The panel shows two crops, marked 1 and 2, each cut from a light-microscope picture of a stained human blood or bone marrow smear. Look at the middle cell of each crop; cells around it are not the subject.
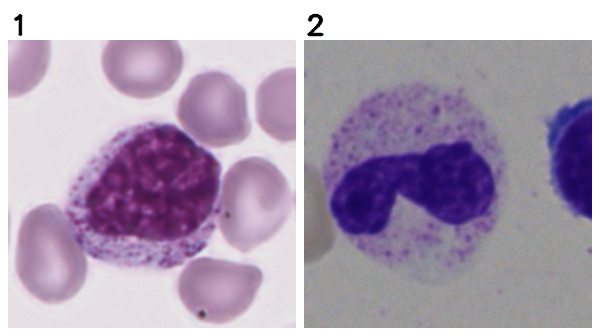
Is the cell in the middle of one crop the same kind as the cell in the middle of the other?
no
